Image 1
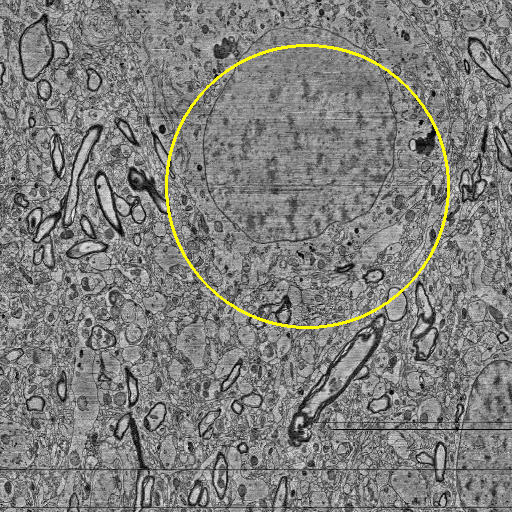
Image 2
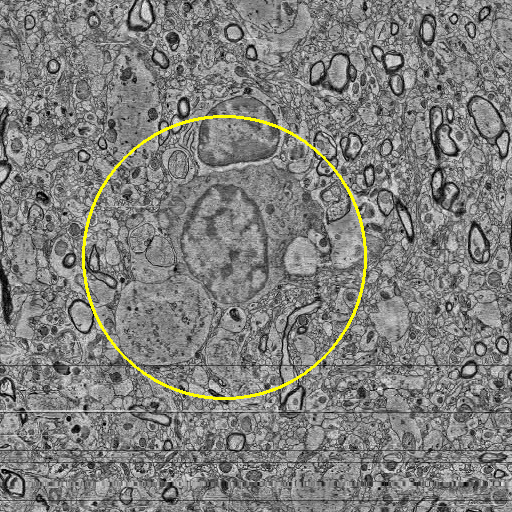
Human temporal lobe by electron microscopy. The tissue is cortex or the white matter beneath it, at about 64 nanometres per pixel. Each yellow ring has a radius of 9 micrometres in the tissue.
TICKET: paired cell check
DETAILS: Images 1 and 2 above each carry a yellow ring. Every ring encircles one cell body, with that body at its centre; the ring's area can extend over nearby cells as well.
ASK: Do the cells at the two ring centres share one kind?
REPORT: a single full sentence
No, the ring-centre cells of Images 1 and 2 belong to two kinds.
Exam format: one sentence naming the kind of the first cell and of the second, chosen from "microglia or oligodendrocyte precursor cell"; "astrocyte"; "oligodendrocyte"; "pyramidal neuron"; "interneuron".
The first picture's cell is a pyramidal neuron, and the second picture's cell is an oligodendrocyte.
